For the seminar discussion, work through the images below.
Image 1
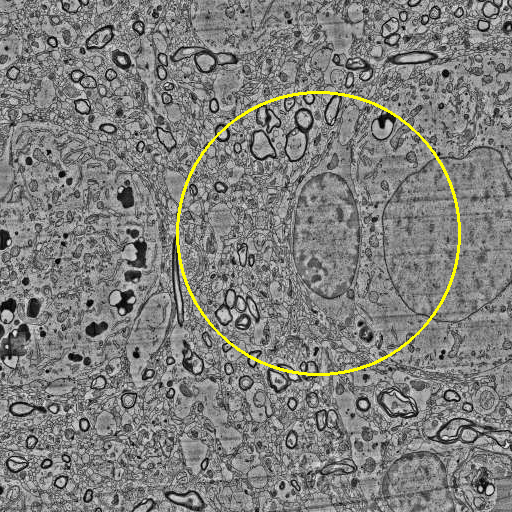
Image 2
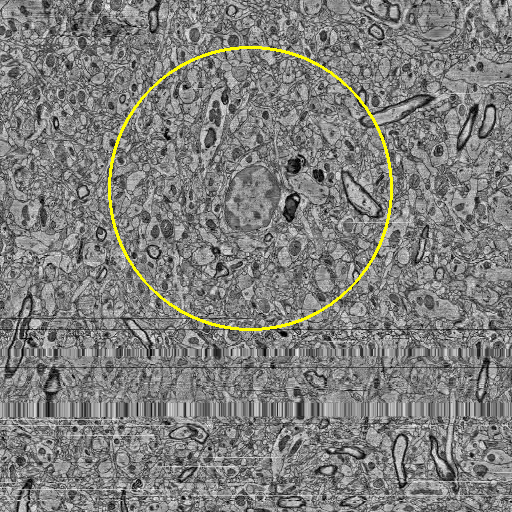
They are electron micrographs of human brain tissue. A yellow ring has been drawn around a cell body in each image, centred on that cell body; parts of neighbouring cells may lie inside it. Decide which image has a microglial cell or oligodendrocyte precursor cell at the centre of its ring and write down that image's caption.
Image 2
